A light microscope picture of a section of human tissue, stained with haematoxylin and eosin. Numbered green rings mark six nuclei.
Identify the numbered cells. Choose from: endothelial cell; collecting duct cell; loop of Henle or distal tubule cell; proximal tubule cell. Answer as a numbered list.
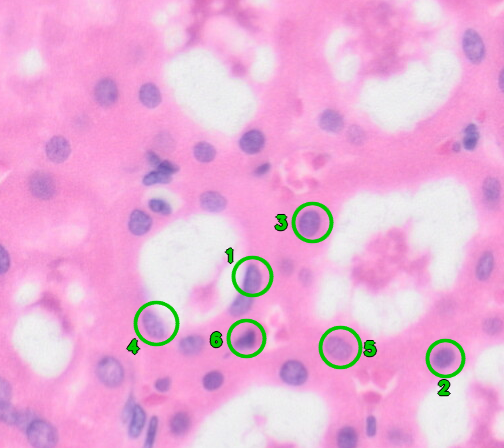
1. loop of Henle or distal tubule cell
2. proximal tubule cell
3. proximal tubule cell
4. loop of Henle or distal tubule cell
5. proximal tubule cell
6. endothelial cell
